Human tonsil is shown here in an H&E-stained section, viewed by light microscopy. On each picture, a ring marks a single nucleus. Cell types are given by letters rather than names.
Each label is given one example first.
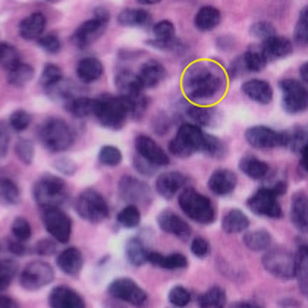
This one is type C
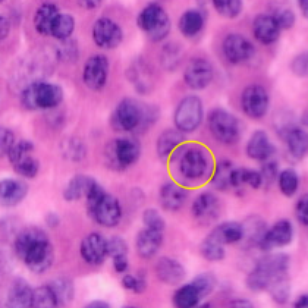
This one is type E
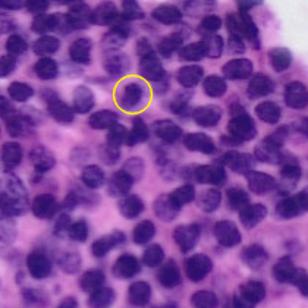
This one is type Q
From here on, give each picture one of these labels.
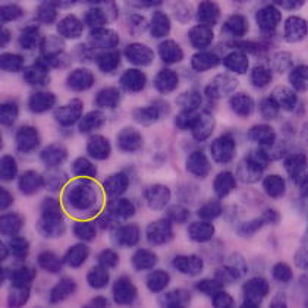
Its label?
type Q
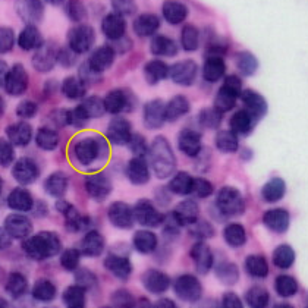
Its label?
type Q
